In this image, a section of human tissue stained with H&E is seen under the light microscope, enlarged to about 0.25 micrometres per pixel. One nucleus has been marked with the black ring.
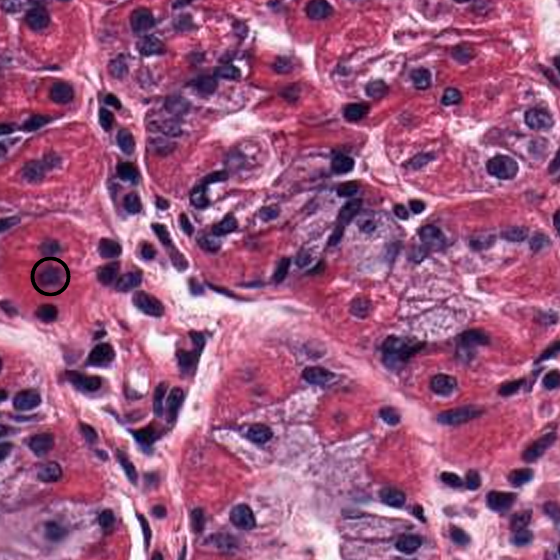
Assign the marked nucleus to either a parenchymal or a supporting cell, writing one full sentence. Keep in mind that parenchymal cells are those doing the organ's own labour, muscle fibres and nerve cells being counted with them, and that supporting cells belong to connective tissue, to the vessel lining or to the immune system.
On this slide the marked nucleus belongs to a parenchymal cell, namely a parietal cell.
